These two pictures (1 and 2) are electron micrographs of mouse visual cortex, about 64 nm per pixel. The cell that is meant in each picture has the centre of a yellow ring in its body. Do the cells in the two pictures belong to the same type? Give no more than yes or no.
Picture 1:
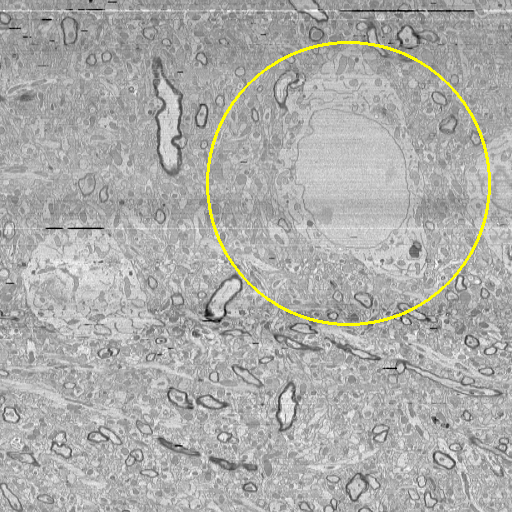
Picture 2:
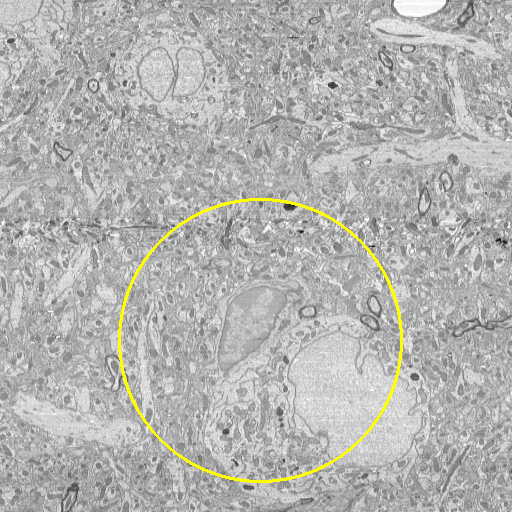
no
